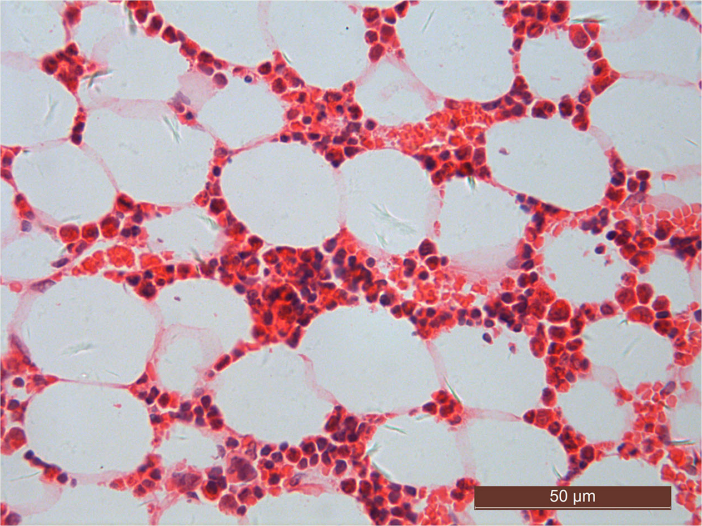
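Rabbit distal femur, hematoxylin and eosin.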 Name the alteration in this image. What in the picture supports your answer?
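Marrow fat accumulation. Large, round, empty clear spaces fill most of the field. Small darkly stained marrow cells are squeezed into thin strands and clusters between the clear spaces.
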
